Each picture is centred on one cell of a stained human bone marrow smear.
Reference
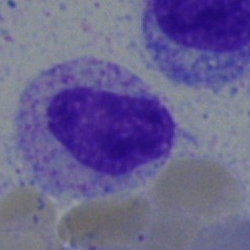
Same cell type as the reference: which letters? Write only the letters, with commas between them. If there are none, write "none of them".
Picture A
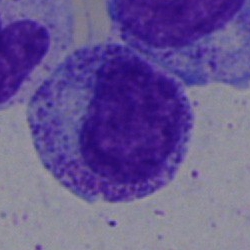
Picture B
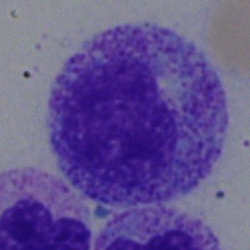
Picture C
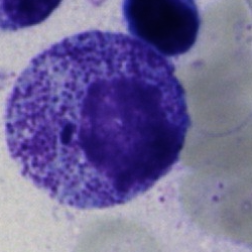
A, B, C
